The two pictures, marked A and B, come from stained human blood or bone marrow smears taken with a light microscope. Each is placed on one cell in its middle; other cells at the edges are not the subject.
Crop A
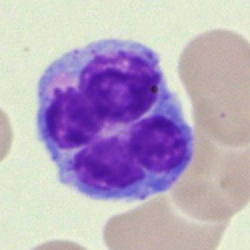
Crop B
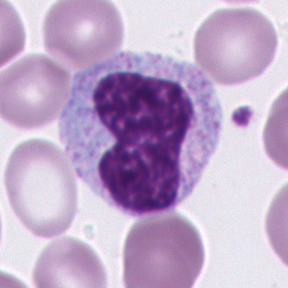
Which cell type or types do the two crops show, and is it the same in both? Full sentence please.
No, crop A shows a monocyte and crop B a band neutrophil.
